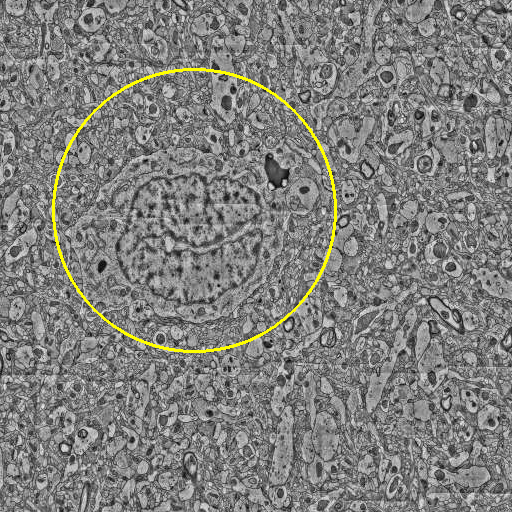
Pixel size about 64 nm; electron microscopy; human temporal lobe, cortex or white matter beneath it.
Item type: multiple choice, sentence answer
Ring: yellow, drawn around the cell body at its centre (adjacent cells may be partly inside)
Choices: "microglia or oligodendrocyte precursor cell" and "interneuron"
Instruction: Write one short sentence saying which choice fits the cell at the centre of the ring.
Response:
This ring is drawn around an interneuron.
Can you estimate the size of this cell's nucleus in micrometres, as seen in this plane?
The nucleus comes to roughly 9 micrometres across in this plane.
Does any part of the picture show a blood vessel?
No, there is none.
